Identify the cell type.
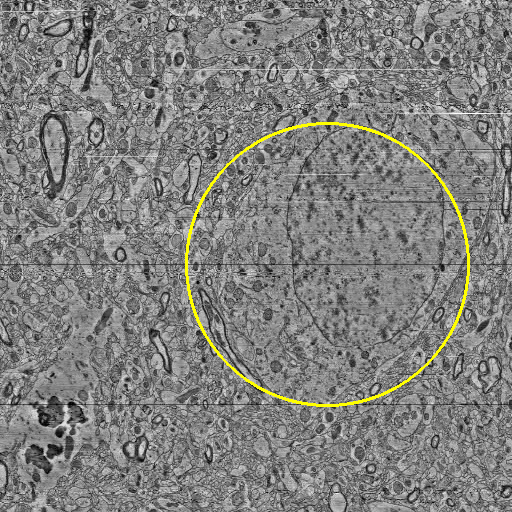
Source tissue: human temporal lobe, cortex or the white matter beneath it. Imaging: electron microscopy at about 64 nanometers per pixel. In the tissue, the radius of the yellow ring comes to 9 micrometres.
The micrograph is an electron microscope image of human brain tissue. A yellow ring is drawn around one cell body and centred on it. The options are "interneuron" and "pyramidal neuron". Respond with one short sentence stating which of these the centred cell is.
The cell body in the ring belongs to a pyramidal neuron.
